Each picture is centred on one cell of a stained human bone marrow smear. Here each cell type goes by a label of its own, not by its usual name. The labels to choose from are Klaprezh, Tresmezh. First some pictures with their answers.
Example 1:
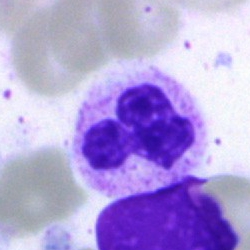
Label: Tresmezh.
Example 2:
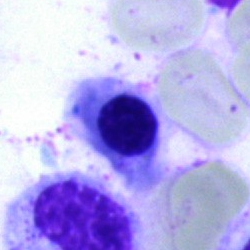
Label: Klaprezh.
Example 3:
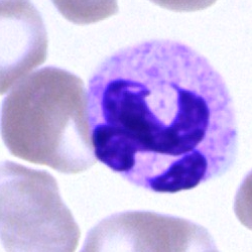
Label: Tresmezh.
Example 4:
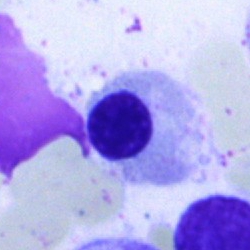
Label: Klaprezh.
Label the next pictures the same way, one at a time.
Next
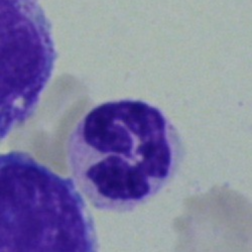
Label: Tresmezh.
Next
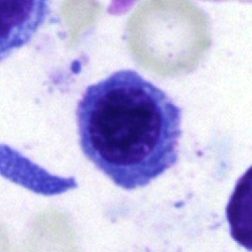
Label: Klaprezh.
